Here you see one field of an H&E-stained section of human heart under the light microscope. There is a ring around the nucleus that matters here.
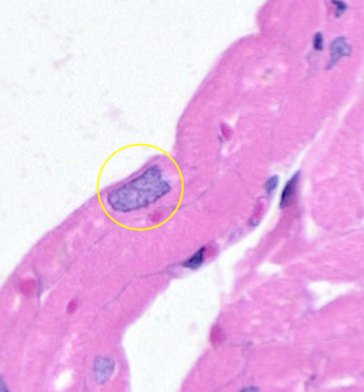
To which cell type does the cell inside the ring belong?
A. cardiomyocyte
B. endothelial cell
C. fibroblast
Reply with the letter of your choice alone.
A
